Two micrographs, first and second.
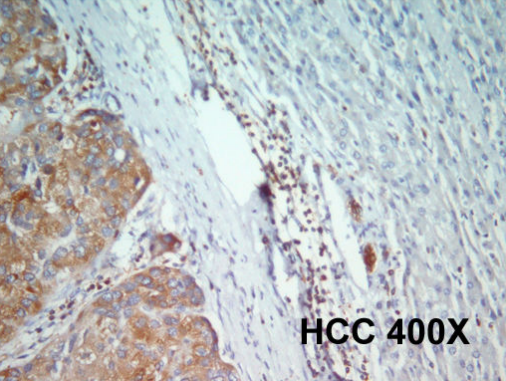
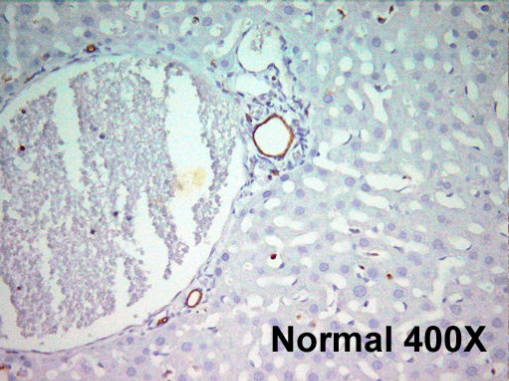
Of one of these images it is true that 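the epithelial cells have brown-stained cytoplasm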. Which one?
the first image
